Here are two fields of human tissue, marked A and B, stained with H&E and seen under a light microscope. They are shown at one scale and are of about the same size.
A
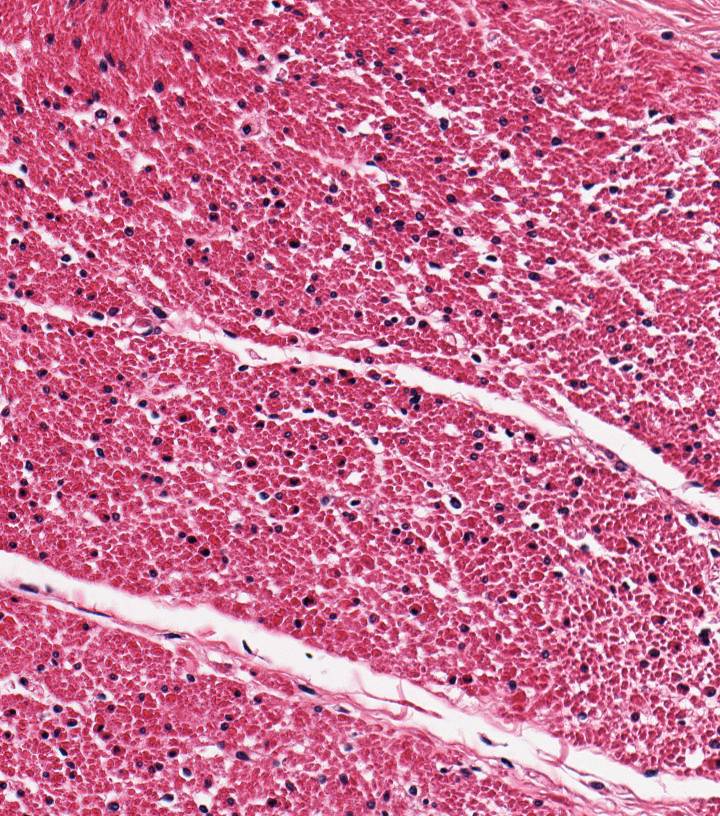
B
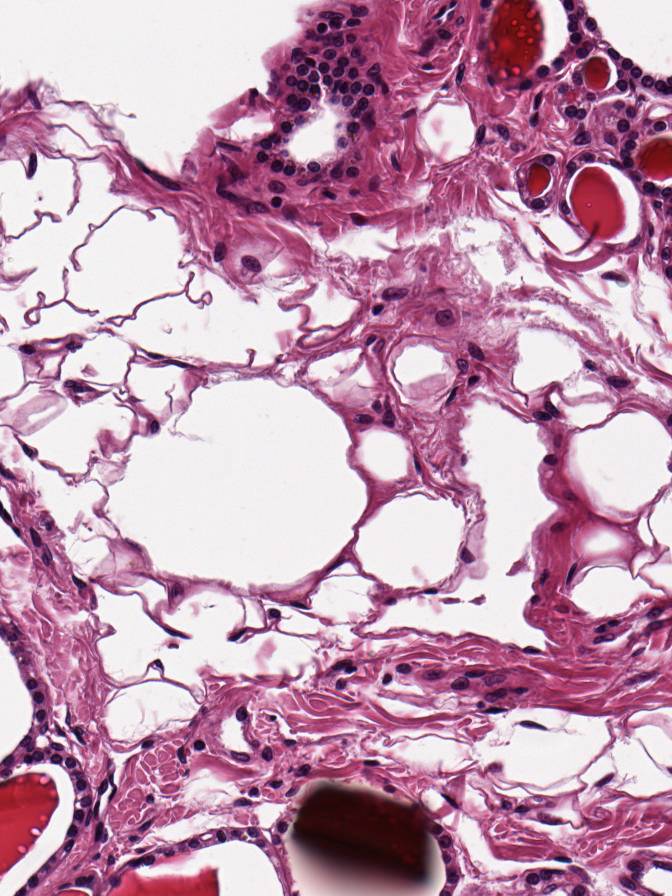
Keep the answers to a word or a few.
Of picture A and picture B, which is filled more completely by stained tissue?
A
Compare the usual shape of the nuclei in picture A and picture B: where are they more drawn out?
B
